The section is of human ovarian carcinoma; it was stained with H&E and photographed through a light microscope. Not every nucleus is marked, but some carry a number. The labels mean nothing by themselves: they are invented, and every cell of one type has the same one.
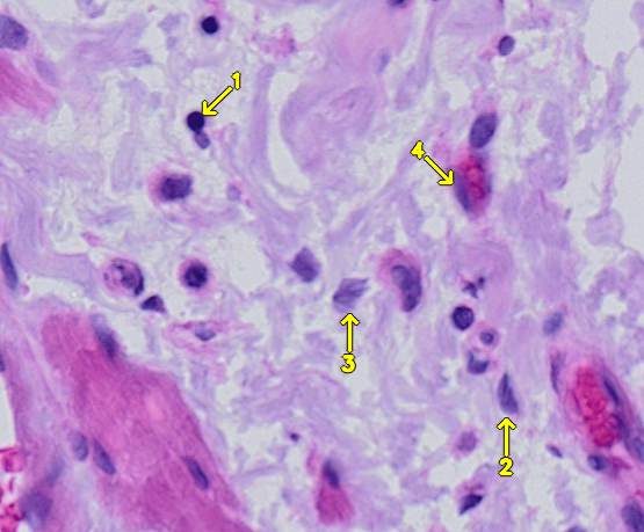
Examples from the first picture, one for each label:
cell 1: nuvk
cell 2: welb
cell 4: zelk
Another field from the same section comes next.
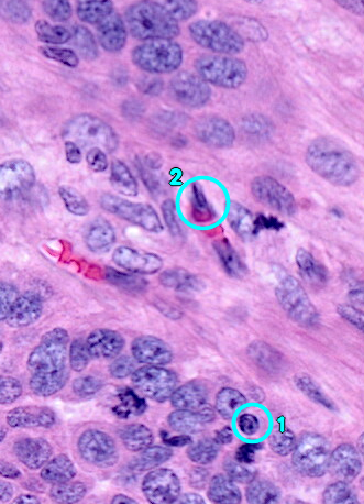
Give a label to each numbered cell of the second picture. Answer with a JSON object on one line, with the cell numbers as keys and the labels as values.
{"1": "nuvk", "2": "zelk"}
